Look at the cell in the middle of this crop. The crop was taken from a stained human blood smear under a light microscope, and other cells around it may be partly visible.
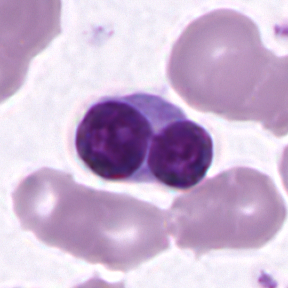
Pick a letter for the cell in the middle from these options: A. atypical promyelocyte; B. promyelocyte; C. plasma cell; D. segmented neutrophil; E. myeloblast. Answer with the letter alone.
C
